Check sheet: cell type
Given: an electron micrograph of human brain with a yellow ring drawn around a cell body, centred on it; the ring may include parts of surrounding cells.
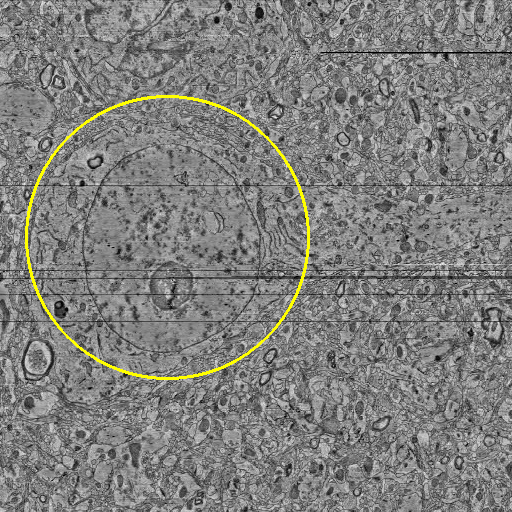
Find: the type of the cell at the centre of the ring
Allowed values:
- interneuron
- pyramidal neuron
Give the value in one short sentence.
Here the ringed cell is a pyramidal neuron.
